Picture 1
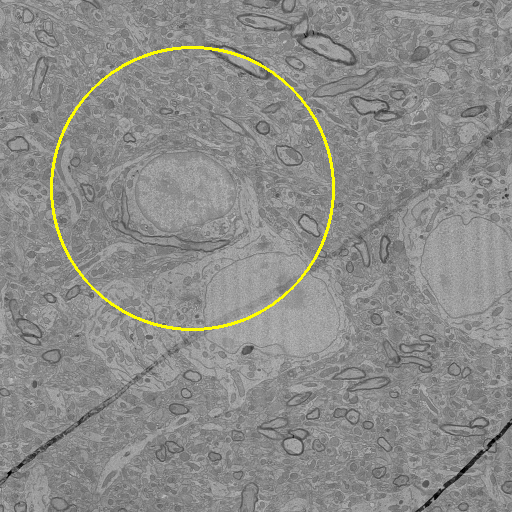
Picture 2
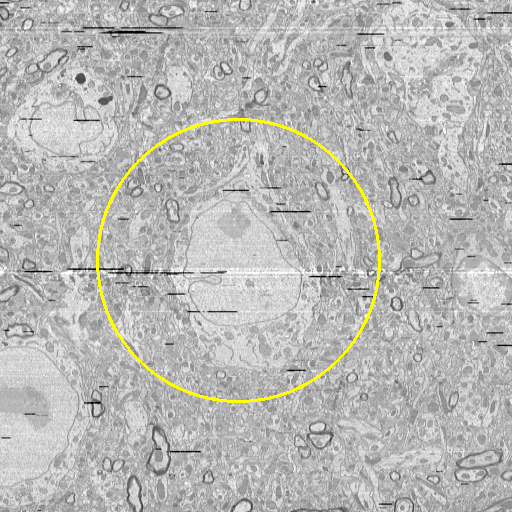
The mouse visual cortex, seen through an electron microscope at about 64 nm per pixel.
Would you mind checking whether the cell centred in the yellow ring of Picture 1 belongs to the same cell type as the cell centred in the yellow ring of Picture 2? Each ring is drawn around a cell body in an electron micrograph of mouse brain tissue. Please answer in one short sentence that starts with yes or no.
No, the two cells are of two types.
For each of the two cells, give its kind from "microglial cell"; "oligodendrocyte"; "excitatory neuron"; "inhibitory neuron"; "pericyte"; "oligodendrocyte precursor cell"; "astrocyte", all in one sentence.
The first picture has an oligodendrocyte in its ring, the second has an excitatory neuron.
